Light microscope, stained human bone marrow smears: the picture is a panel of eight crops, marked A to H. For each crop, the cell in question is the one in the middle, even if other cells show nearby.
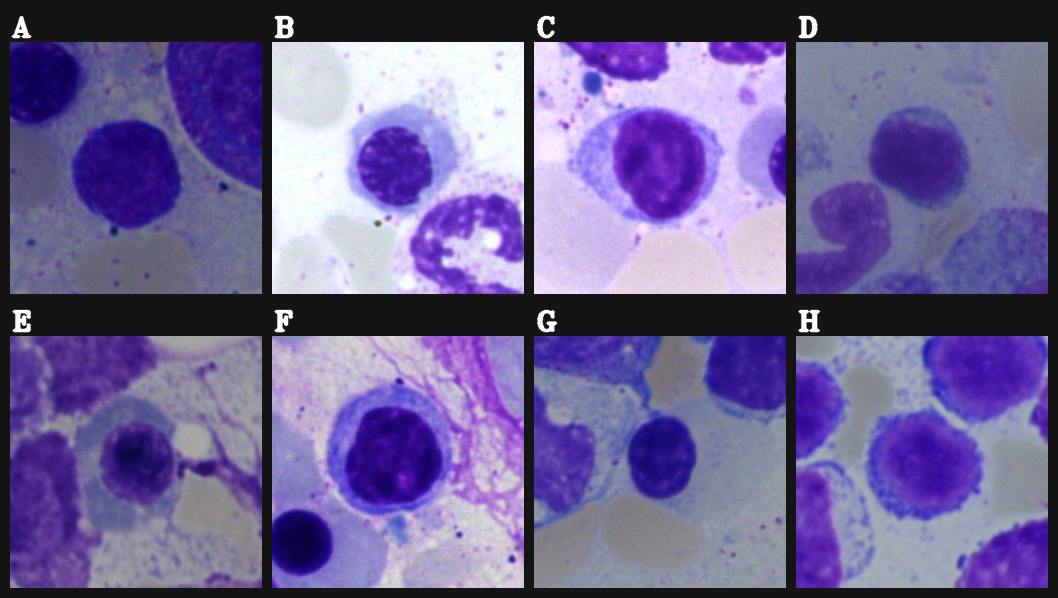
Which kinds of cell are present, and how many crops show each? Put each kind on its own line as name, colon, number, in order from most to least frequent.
lymphocyte: 5
erythroblast: 3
